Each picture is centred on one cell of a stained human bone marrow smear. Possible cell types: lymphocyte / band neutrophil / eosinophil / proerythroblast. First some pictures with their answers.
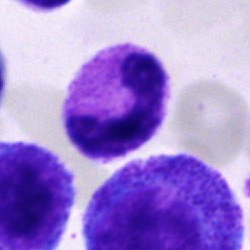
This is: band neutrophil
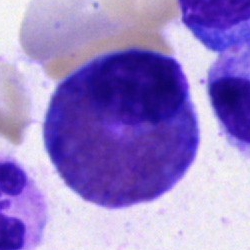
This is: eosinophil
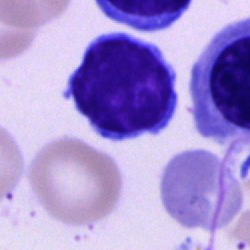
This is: lymphocyte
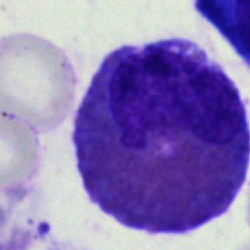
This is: eosinophil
